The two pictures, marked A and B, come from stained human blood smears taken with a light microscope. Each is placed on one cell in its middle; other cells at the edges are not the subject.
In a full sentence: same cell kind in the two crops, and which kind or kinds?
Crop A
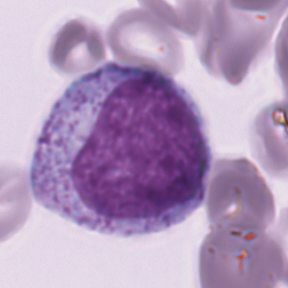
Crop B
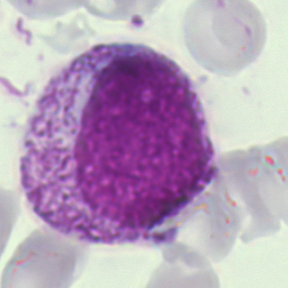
Yes, with regard to both crops, the central cells are promyelocytes.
